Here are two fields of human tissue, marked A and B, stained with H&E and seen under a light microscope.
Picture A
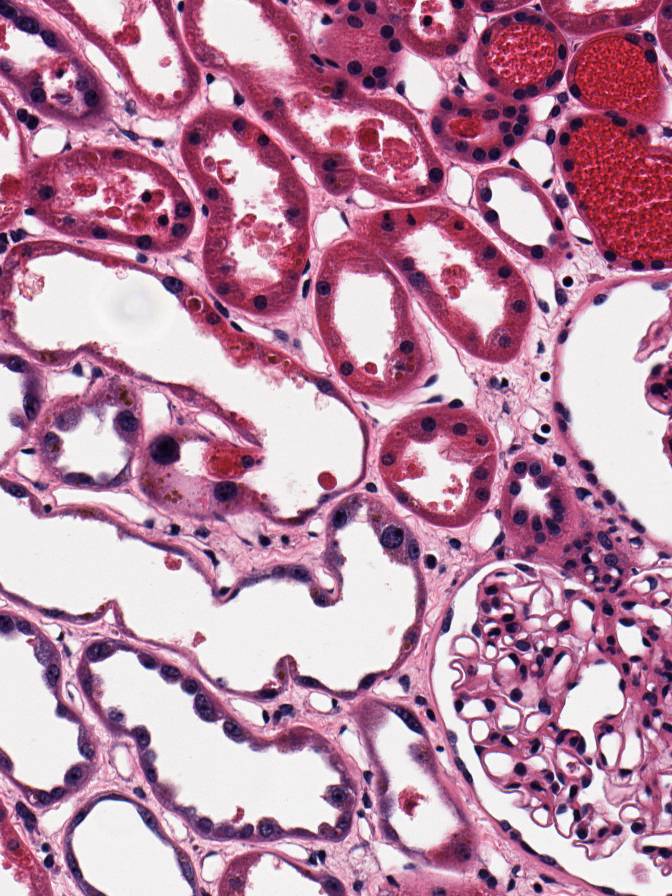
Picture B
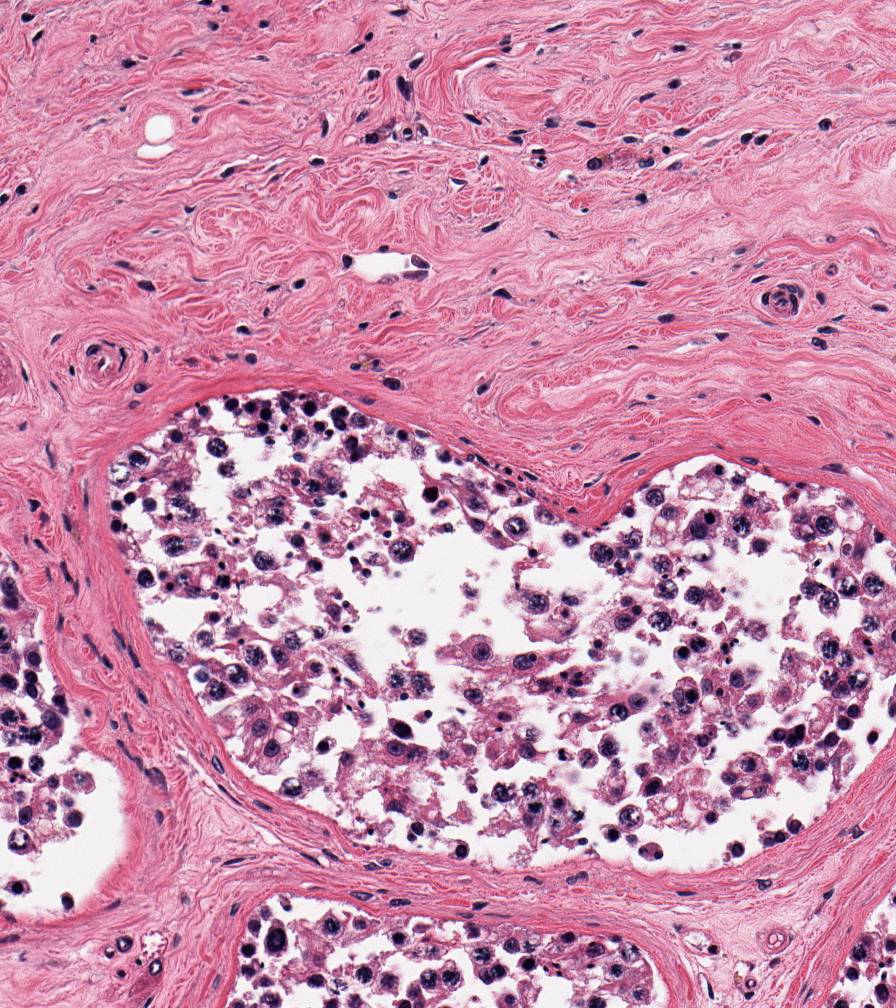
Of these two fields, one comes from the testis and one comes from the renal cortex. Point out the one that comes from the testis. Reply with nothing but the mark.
B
